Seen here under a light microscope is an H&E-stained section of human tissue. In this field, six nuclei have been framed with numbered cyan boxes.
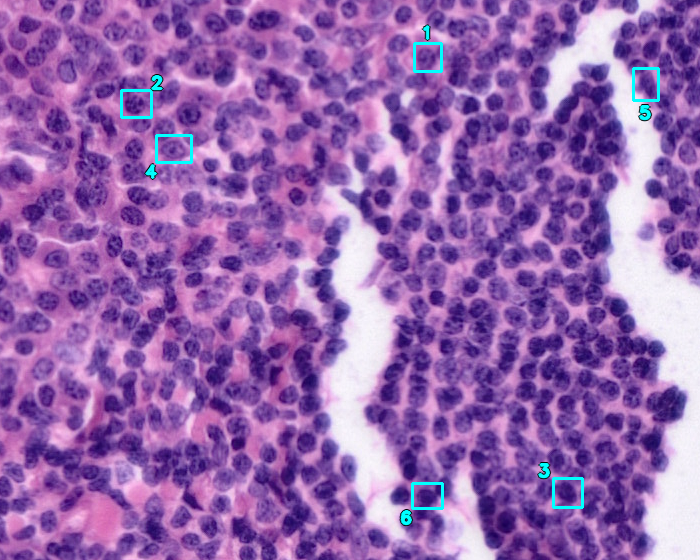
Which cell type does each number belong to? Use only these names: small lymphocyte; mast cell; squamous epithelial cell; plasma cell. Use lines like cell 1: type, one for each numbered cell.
cell 1: plasma cell
cell 2: plasma cell
cell 3: small lymphocyte
cell 4: plasma cell
cell 5: small lymphocyte
cell 6: small lymphocyte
